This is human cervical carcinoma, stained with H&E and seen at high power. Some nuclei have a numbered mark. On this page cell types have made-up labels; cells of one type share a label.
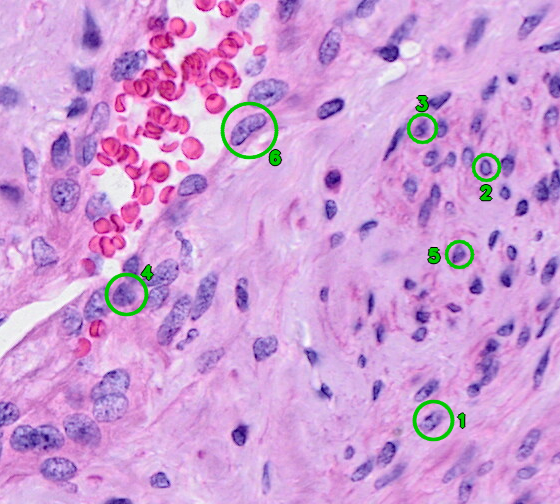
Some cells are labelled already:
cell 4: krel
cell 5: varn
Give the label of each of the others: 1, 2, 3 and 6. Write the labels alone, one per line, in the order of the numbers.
varn
varn
varn
krel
